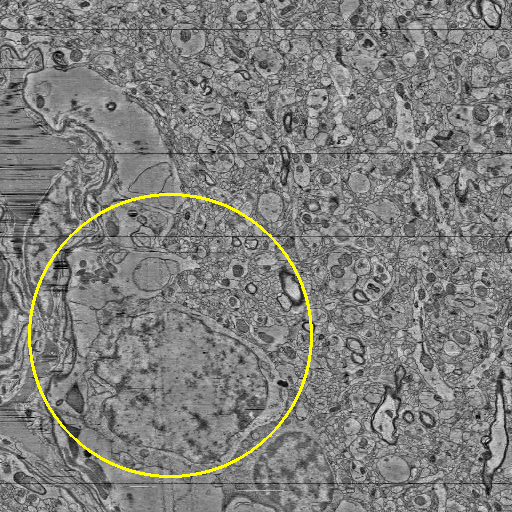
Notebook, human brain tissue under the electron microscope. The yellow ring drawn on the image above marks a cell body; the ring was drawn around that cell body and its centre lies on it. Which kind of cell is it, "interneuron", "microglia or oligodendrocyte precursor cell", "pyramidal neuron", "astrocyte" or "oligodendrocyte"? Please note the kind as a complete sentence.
The marked cell body is that of an interneuron.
